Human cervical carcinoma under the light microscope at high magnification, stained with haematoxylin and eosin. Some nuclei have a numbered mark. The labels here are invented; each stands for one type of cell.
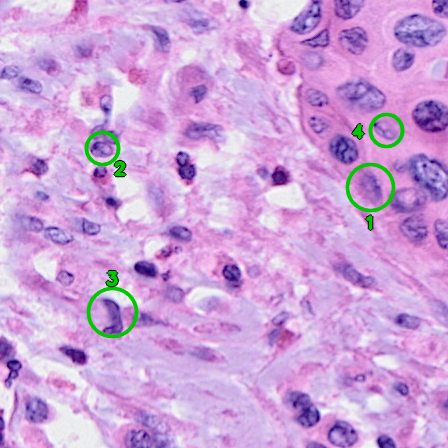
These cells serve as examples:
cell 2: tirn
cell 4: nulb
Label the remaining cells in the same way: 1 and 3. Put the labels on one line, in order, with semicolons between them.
nulb; tirn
